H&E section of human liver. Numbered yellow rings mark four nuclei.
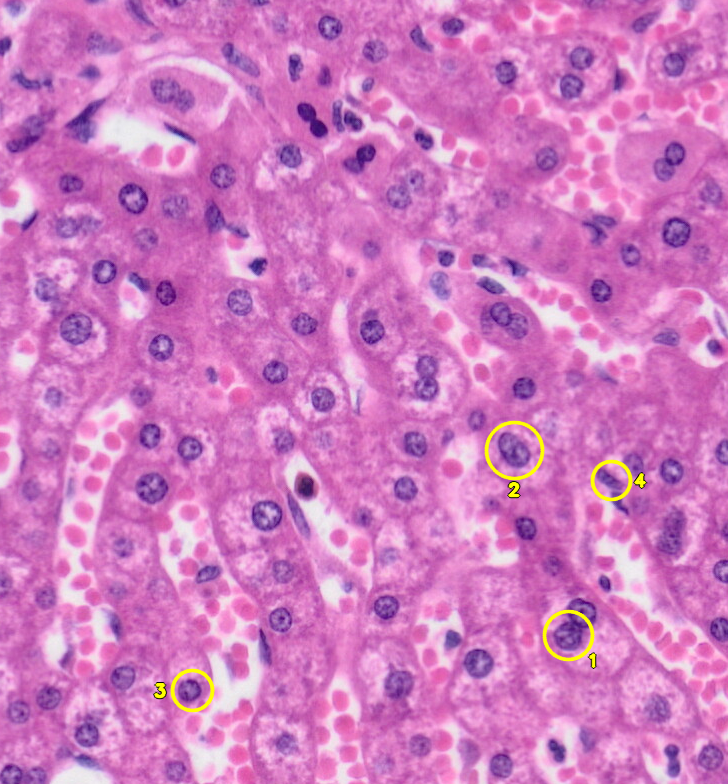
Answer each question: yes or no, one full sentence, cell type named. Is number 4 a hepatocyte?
No, cell 4 is not a hepatocyte; it is a fibroblast or stellate cell.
